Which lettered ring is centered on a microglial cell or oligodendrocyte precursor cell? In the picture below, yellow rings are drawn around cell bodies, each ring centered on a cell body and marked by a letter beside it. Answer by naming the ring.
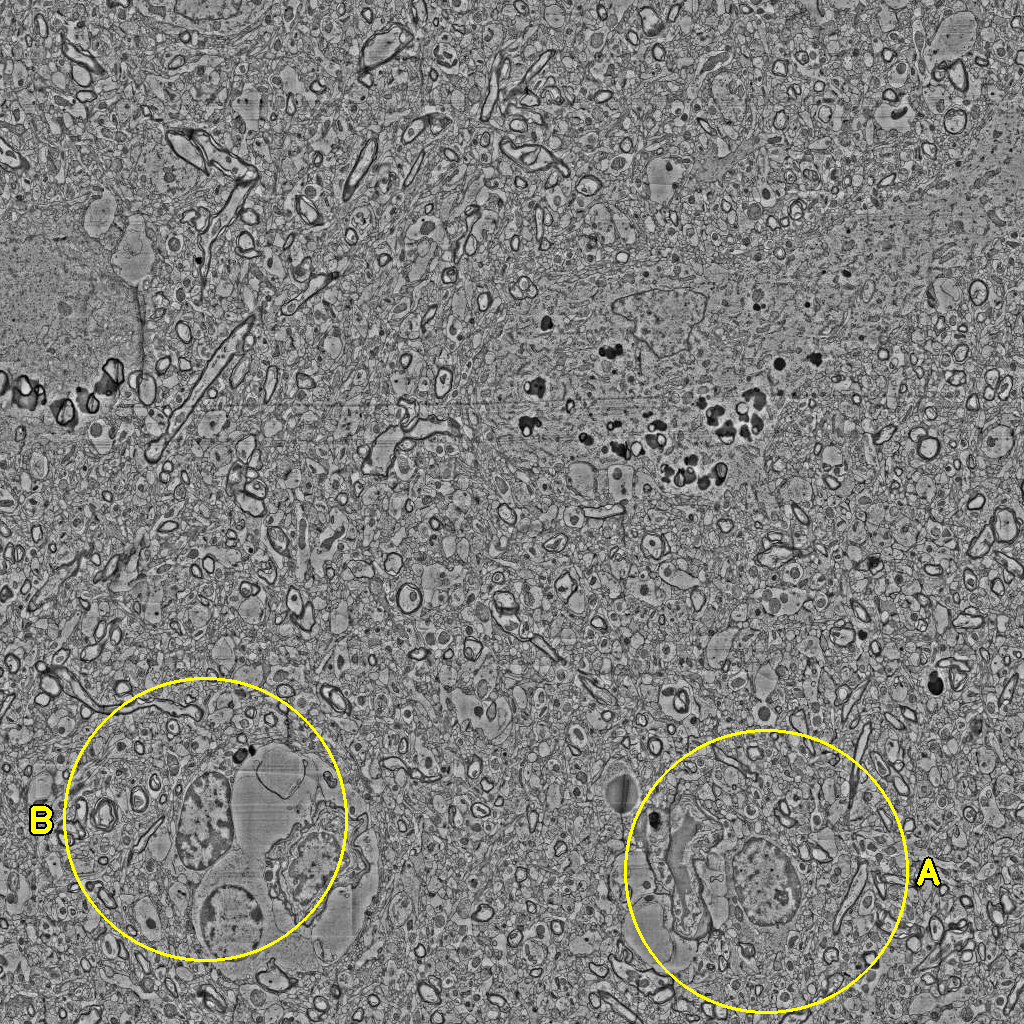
Ring B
